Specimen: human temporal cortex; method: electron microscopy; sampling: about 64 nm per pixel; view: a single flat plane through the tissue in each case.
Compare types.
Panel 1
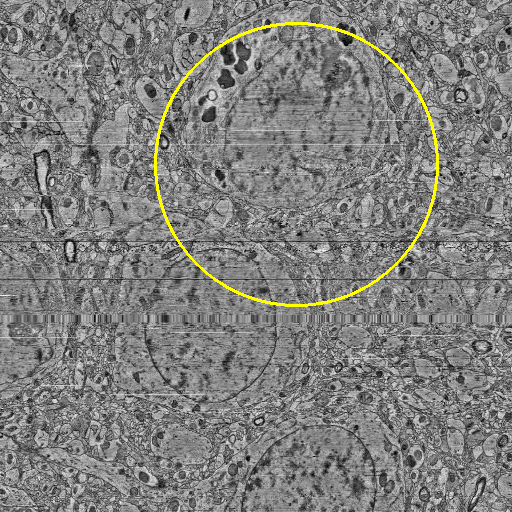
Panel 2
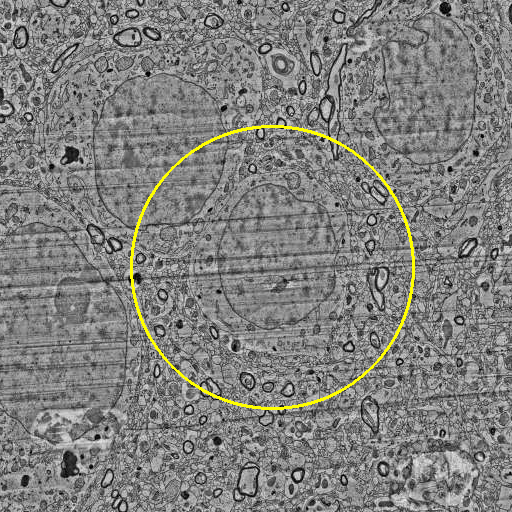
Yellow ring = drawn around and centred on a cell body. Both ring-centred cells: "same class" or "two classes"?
two classes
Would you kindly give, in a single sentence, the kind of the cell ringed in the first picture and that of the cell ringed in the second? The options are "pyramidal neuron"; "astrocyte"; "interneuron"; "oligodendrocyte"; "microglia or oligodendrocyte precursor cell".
The second cell is a pyramidal neuron, and the first cell is an interneuron.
